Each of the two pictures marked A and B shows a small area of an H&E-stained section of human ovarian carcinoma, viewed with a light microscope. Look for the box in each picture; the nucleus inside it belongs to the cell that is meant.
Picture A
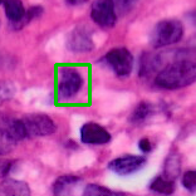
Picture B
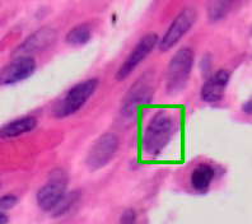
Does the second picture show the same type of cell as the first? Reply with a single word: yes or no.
yes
